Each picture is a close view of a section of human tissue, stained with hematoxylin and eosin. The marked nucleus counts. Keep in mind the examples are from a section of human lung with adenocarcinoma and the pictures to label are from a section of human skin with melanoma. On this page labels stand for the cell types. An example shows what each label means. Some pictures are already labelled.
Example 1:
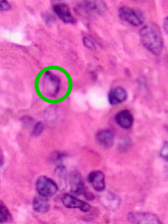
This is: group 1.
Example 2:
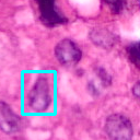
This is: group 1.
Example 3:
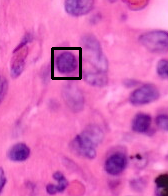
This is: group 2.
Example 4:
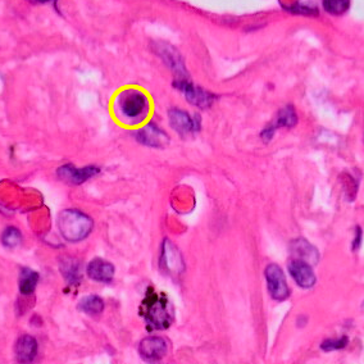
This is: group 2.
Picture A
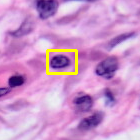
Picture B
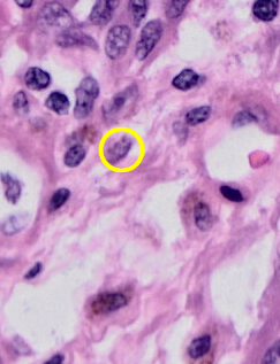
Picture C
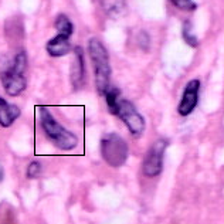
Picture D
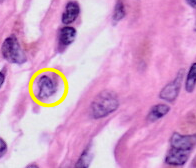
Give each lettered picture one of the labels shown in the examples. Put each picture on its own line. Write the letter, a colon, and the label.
A: group 2.
B: group 1.
C: group 1.
D: group 1.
